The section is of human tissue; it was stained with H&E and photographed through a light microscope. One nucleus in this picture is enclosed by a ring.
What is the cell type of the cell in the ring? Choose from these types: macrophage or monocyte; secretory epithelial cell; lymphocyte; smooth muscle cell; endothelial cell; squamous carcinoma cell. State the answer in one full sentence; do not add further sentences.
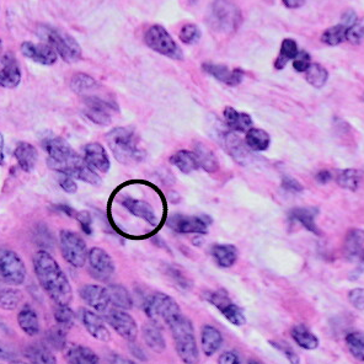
The identity of the cell in the ring is that of a lymphocyte.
